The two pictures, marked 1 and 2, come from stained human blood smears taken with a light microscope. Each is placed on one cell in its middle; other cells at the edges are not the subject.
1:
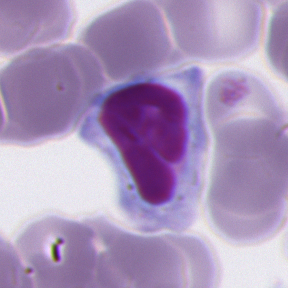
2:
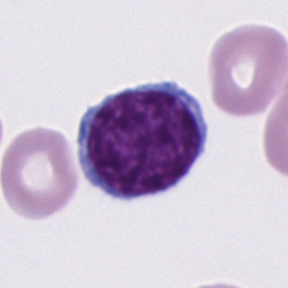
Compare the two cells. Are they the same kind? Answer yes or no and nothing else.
yes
